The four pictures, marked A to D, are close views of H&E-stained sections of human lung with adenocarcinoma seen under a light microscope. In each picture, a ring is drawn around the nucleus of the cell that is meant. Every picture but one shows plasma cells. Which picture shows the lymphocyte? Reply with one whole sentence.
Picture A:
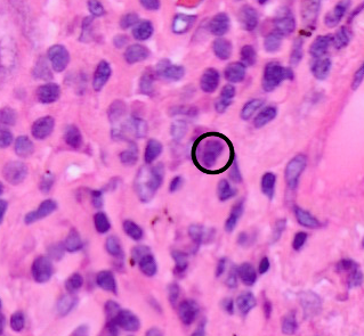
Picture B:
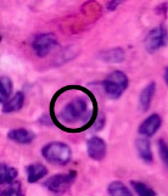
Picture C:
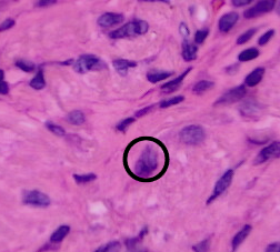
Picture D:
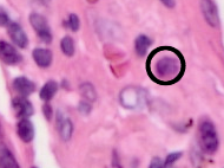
It is picture B that shows the lymphocyte.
